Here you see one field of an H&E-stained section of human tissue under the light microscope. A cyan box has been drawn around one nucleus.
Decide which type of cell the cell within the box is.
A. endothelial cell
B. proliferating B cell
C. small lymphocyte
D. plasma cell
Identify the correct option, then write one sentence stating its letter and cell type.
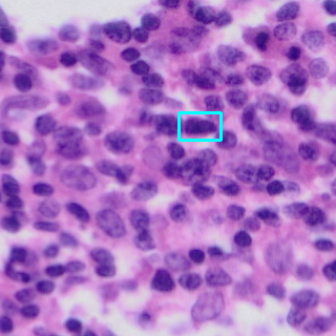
Option B correctly identifies the cell within the box as a proliferating B cell.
